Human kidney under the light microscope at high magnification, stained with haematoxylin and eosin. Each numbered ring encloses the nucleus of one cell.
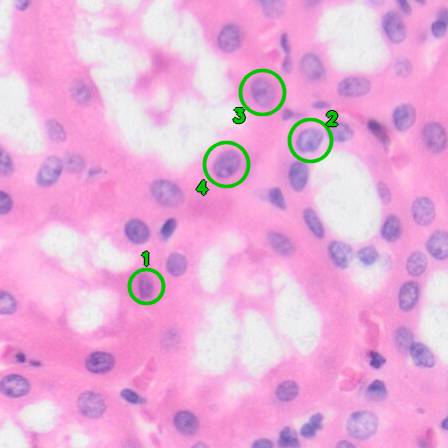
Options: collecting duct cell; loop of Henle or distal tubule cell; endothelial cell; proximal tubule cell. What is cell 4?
proximal tubule cell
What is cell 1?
proximal tubule cell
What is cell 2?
collecting duct cell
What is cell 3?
proximal tubule cell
